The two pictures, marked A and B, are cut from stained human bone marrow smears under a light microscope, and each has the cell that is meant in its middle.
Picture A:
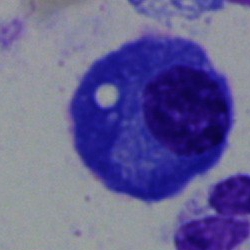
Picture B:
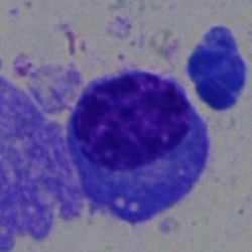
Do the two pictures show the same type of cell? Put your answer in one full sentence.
Yes, they are the same type: both are plasma cells.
